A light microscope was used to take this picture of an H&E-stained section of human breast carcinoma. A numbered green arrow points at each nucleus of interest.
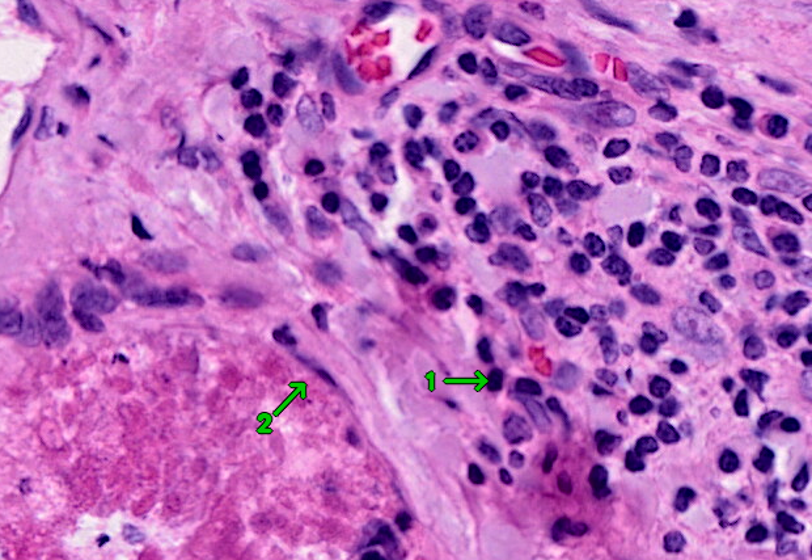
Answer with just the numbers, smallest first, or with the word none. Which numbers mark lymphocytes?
1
